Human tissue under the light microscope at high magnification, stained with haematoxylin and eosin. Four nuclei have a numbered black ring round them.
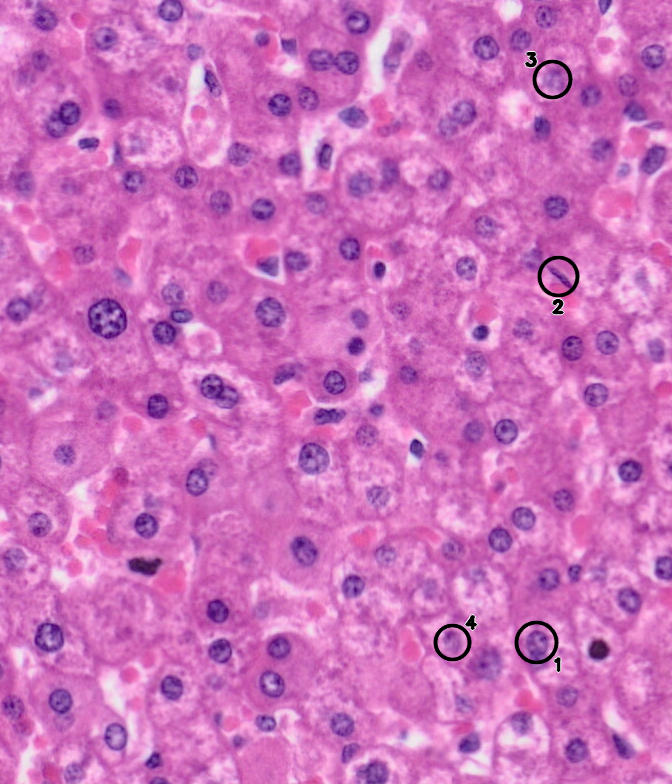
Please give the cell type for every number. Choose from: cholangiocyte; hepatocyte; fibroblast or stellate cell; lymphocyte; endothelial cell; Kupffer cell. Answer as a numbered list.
1. hepatocyte
2. endothelial cell
3. hepatocyte
4. hepatocyte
